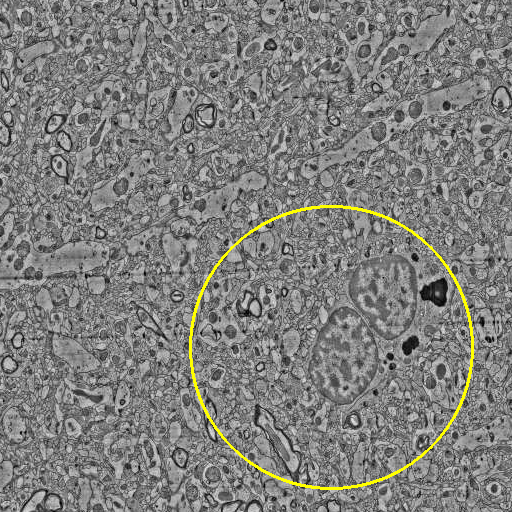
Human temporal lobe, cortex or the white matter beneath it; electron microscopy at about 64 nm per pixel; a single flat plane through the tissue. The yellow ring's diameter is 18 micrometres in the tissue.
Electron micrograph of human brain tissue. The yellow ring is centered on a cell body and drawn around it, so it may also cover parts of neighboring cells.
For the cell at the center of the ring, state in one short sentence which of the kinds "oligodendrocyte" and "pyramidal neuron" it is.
This ring is centered on an oligodendrocyte.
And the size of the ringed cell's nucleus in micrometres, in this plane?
In this plane, approximately 6 by 4 micrometers.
